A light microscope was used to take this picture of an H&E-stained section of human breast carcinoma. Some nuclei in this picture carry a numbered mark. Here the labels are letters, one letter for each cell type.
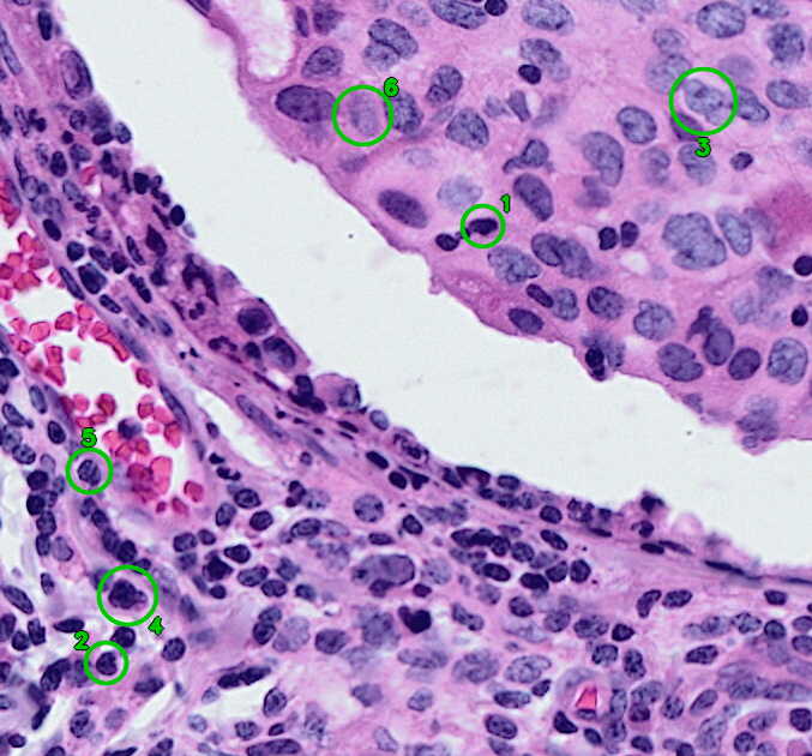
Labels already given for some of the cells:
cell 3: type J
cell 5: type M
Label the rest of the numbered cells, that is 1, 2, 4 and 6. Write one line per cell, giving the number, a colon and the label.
1: type M
2: type M
4: type M
6: type J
